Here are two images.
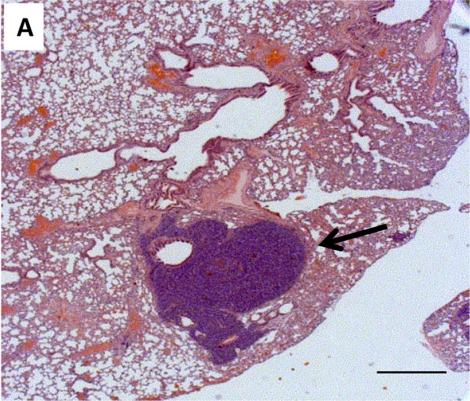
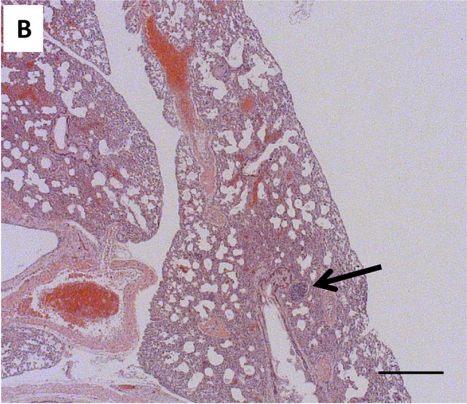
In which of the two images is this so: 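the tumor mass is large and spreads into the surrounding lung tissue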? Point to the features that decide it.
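The first image. Second image: only a tiny purple focus is seen in the lung. First image: a large dense purple mass occupies a broad area of lung tissue.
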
